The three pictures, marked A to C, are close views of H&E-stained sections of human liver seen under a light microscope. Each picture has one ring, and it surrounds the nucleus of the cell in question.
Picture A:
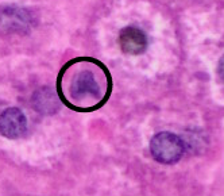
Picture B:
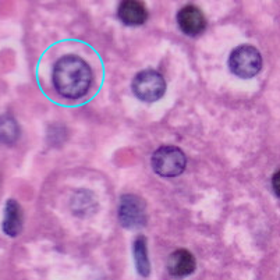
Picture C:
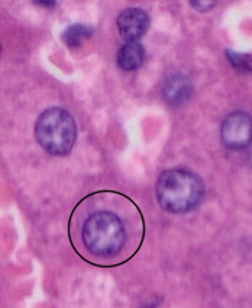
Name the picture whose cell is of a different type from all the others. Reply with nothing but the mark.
A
